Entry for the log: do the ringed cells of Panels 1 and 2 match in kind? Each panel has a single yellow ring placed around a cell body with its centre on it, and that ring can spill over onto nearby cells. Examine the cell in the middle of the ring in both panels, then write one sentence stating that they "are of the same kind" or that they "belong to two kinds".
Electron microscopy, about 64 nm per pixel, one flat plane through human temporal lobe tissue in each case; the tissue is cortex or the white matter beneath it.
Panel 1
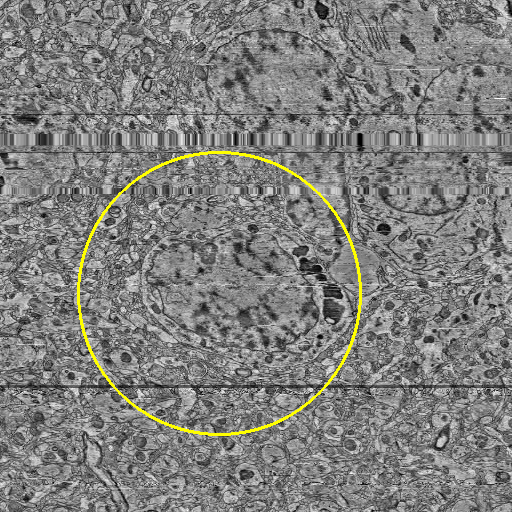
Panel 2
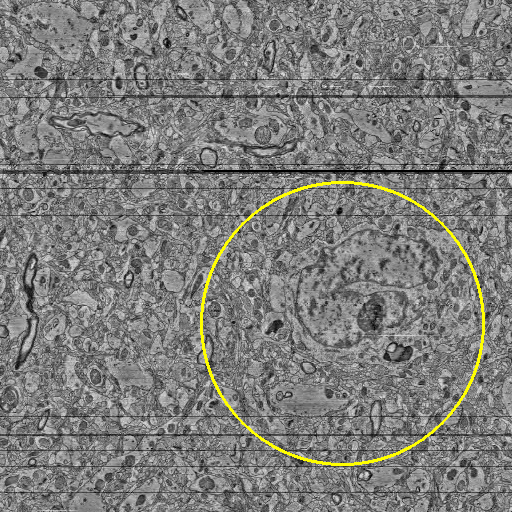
The centre cell of Panel 1's ring and that of Panel 2's ring are of the same kind.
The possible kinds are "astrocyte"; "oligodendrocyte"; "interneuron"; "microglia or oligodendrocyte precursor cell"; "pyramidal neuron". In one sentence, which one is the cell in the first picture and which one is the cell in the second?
Each of the two cells is an interneuron.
